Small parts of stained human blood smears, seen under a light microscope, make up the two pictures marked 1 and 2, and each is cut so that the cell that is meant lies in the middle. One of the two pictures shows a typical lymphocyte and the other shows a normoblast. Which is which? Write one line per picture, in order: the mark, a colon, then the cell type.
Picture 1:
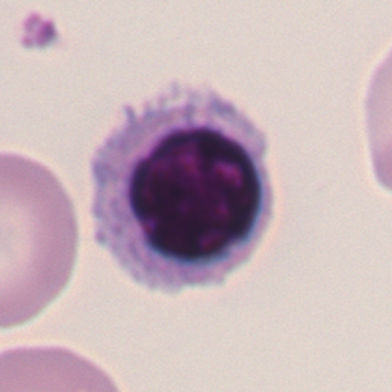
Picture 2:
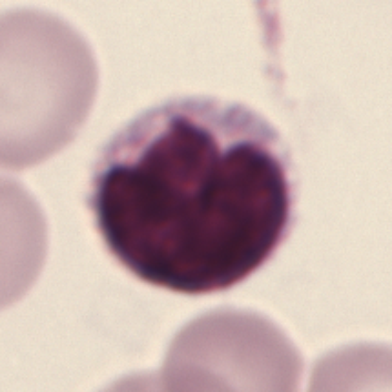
1: normoblast
2: typical lymphocyte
